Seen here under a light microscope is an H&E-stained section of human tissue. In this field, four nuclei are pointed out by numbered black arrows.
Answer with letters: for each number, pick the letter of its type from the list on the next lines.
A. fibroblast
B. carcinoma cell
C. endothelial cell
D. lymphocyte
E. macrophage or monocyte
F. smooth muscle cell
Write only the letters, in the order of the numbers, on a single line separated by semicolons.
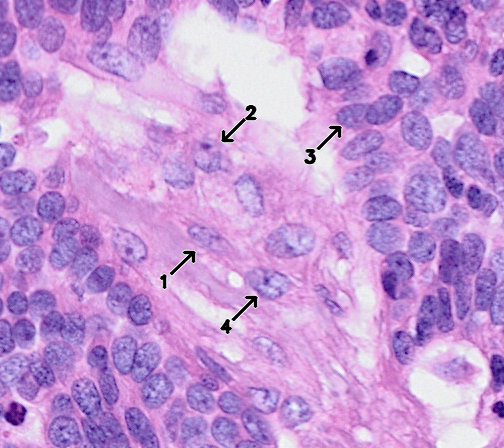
A; A; B; A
